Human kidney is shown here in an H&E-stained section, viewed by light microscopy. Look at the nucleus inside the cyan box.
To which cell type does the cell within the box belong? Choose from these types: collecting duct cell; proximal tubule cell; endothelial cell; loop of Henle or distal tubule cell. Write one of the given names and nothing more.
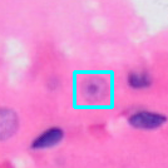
proximal tubule cell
